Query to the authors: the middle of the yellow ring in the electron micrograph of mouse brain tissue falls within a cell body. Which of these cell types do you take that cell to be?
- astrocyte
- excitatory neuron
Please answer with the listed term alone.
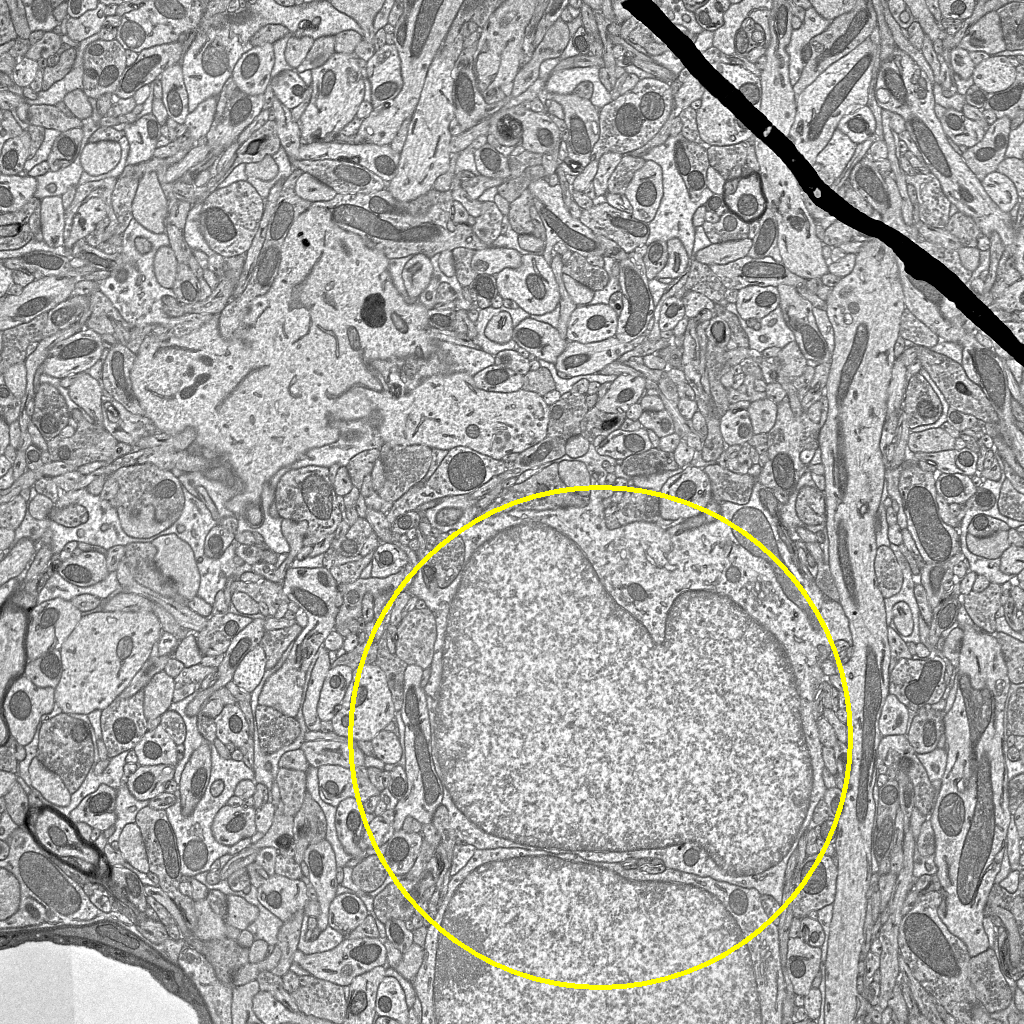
astrocyte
